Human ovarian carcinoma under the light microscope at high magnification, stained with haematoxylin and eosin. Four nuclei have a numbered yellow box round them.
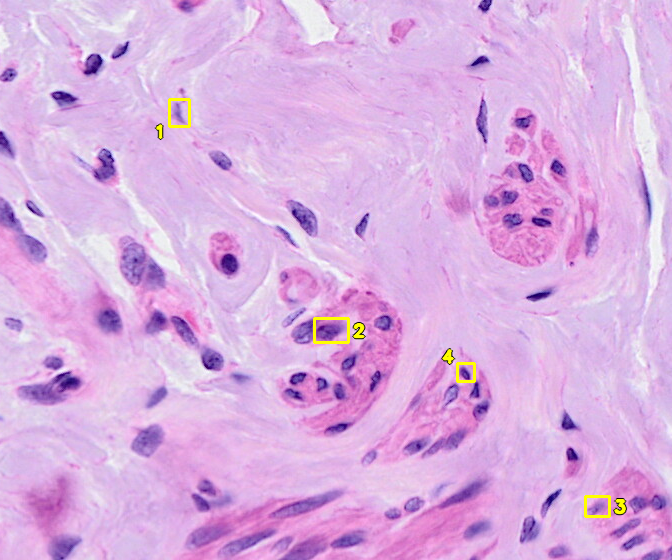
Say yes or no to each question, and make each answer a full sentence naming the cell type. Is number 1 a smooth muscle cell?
No, cell number 1 is a fibroblast; it is not a smooth muscle cell.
